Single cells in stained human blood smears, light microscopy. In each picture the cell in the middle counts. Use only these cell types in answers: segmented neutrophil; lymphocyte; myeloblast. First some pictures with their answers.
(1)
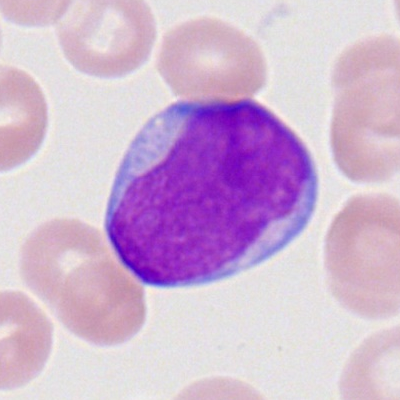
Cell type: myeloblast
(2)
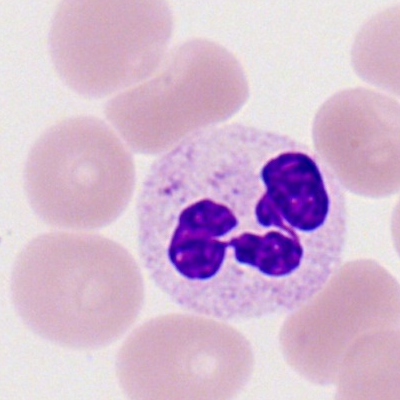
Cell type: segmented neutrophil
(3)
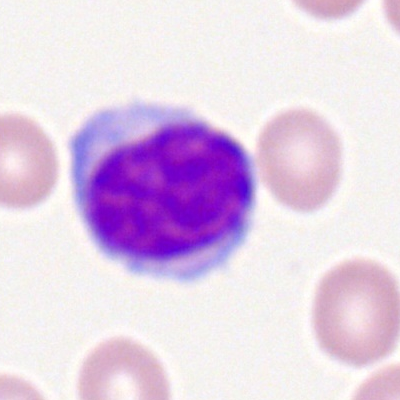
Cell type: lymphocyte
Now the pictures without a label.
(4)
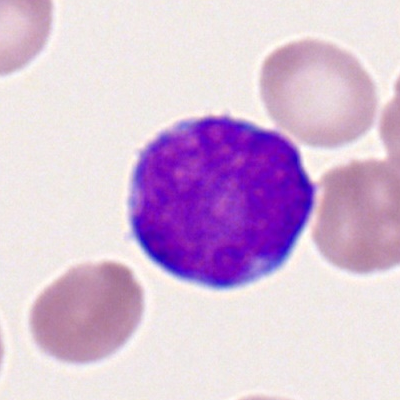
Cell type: myeloblast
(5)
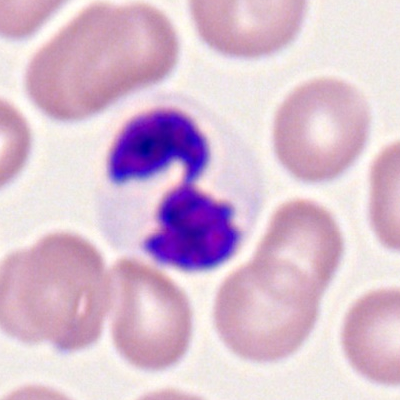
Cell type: segmented neutrophil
